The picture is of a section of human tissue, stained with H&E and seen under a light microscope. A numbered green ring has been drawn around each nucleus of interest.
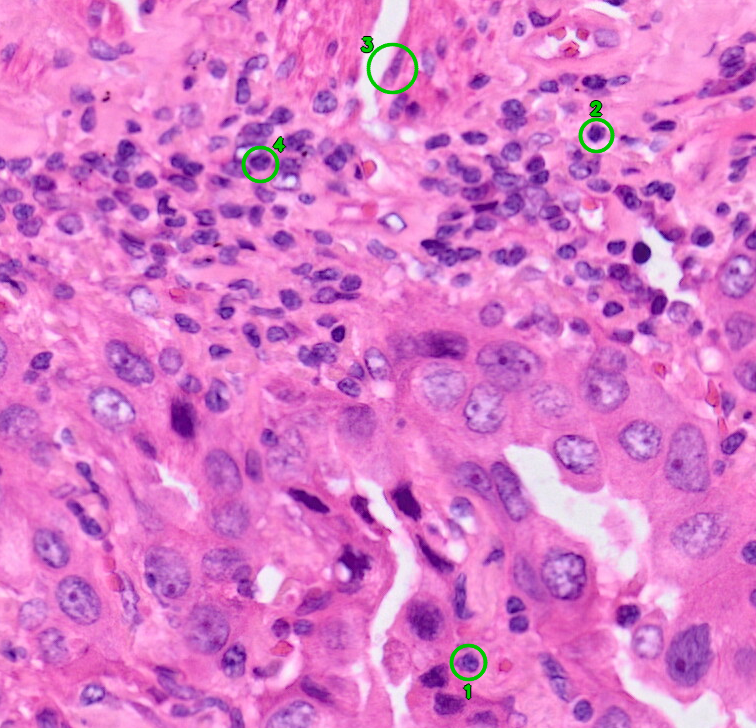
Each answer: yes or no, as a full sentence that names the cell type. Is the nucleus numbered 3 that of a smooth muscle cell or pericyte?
Yes, the cell marked with number 3 is a smooth muscle cell or pericyte.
